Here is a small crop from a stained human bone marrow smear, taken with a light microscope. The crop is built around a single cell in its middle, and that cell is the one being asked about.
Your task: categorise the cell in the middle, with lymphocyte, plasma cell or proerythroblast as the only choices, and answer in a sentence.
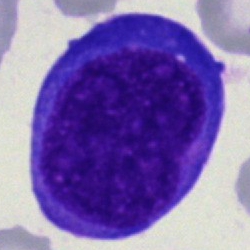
The crop centres on a single cell, and that cell is a proerythroblast.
